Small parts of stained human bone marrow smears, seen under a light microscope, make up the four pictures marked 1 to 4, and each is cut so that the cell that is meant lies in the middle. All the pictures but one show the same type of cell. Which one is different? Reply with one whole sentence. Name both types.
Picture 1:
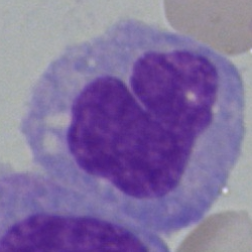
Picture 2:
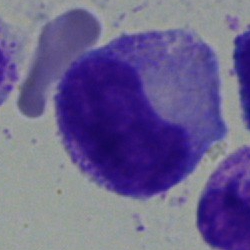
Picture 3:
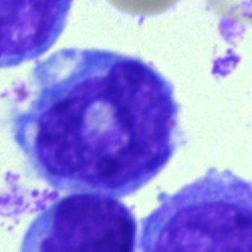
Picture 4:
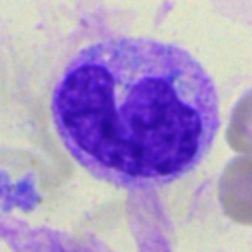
Unlike the rest, which show monocytes, picture 2 shows a metamyelocyte.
